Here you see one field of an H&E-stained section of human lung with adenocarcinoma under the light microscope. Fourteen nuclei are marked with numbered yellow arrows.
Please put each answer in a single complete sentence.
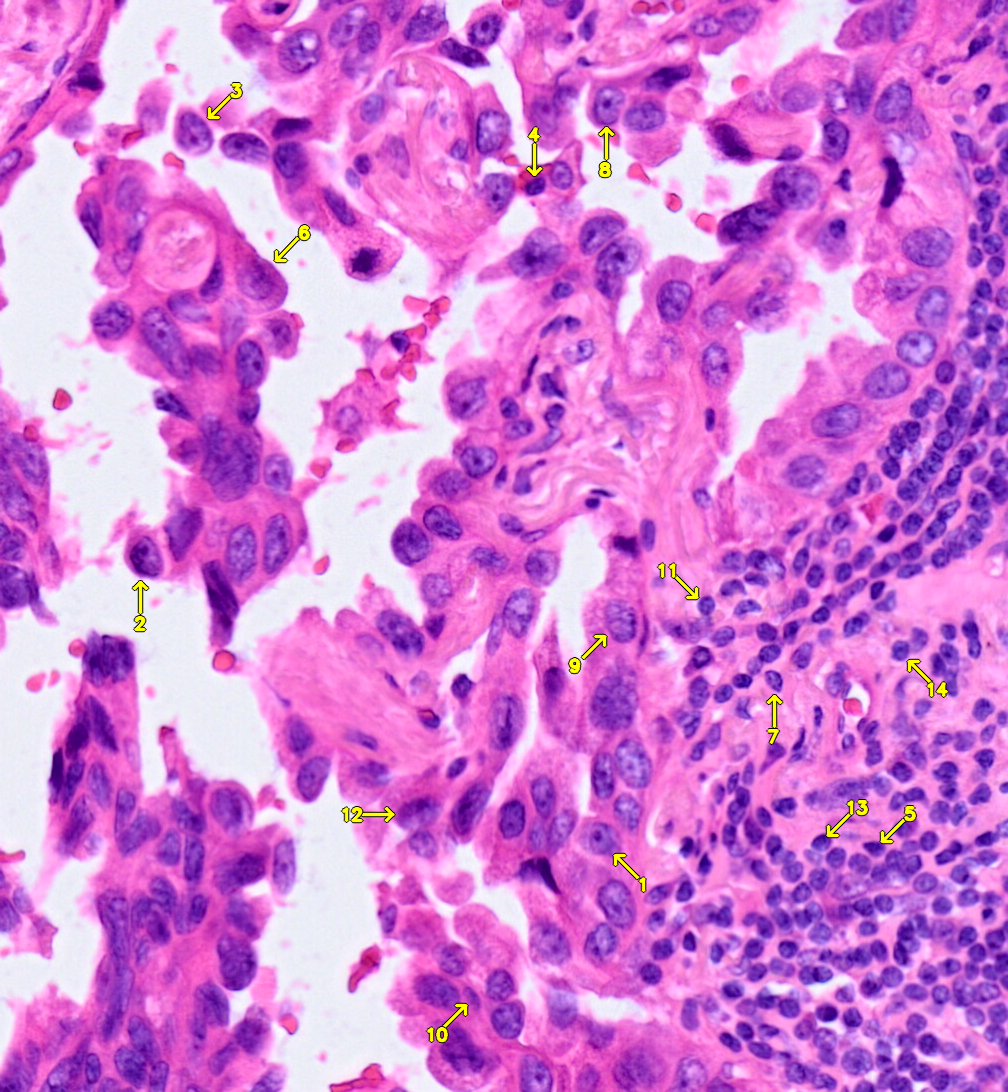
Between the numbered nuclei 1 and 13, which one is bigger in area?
Nucleus 1 is larger, with an area about 4 times that of nucleus 13.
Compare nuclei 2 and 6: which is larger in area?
Nucleus 6 is larger, with an area about 2 times that of nucleus 2.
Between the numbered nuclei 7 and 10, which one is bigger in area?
At about 1.5 times the area of nucleus 10, nucleus 7 is the larger of the two.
